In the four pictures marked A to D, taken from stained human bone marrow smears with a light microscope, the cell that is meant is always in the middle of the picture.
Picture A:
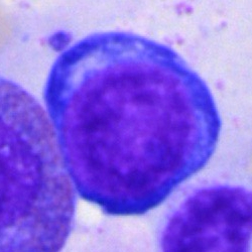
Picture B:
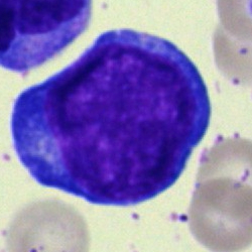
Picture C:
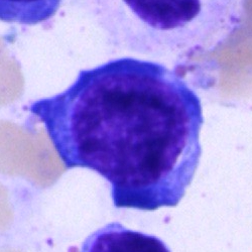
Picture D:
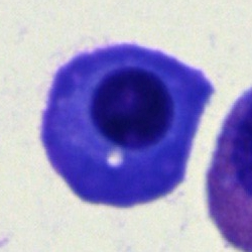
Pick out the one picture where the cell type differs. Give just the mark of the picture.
D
